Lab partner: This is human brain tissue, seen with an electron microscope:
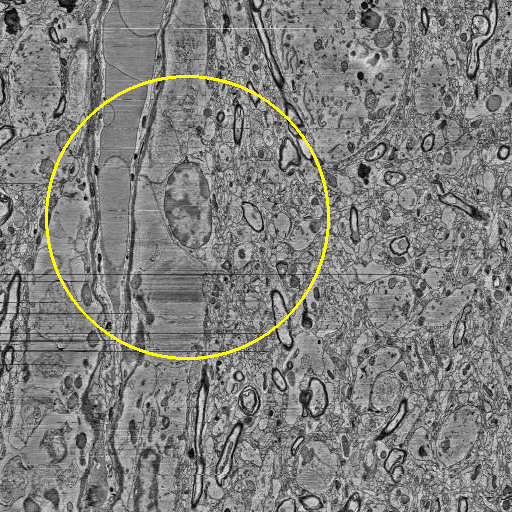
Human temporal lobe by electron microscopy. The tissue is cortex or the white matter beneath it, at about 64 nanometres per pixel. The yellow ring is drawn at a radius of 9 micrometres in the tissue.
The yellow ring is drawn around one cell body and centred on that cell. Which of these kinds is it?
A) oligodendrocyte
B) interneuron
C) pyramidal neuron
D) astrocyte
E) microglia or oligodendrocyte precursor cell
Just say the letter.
E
